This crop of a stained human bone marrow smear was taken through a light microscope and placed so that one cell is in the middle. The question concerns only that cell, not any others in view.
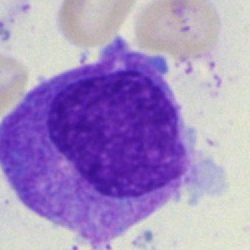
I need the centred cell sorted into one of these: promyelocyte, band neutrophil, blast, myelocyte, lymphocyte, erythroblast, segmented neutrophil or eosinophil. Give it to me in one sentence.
The cell in the exact centre of the crop is a promyelocyte.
